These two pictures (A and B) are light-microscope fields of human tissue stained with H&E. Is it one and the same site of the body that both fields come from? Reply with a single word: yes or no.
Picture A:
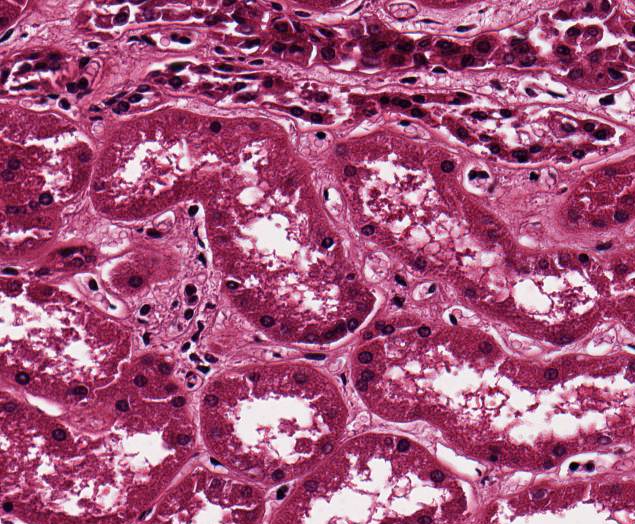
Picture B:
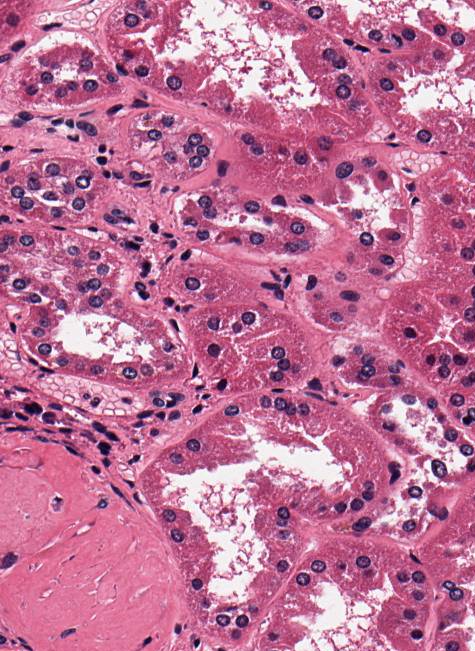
yes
